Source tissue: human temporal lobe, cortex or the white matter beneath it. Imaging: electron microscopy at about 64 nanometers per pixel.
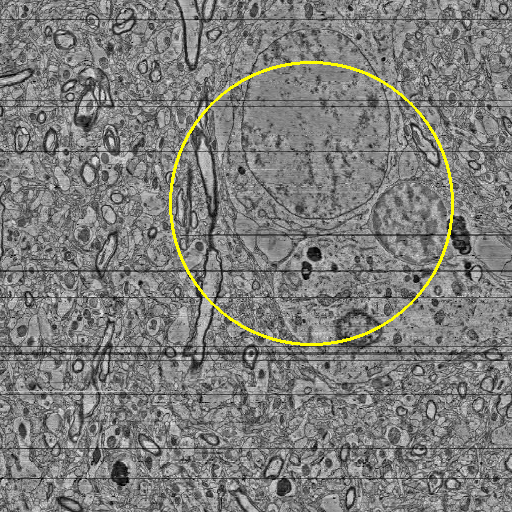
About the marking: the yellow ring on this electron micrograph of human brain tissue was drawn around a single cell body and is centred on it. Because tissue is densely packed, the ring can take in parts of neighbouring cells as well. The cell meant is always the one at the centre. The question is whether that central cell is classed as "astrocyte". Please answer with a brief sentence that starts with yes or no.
No, the central cell belongs to another class.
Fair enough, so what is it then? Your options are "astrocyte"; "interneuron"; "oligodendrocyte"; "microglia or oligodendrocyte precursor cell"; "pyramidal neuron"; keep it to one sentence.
The cell ringed in the picture is a pyramidal neuron.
